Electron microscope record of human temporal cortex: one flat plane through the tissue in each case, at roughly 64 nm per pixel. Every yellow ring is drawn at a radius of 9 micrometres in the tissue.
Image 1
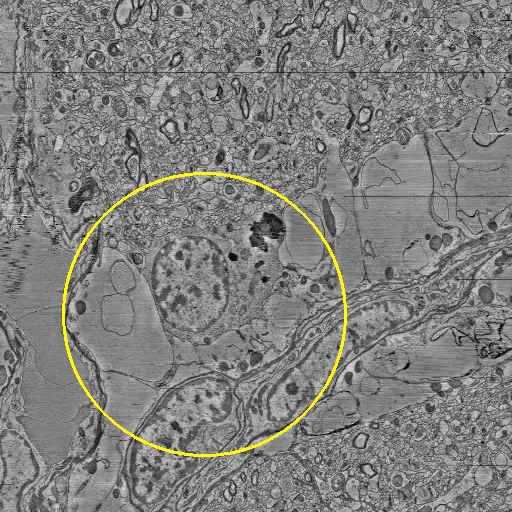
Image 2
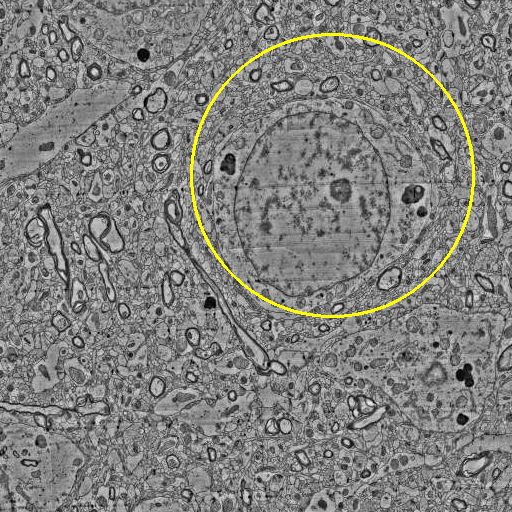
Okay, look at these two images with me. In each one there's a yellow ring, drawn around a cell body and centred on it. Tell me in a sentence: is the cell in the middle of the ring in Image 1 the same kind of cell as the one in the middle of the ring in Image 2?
No, they're two kinds of cell.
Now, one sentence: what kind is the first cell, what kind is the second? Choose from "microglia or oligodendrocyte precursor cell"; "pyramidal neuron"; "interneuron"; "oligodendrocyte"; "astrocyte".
The first picture has an oligodendrocyte at its ring centre, and the second has a pyramidal neuron.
